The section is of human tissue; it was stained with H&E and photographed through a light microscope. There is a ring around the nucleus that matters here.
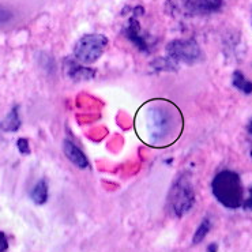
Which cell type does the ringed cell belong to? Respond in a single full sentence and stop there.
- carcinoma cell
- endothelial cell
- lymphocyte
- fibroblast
In this tissue section, the ringed cell is to be classed as an endothelial cell.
